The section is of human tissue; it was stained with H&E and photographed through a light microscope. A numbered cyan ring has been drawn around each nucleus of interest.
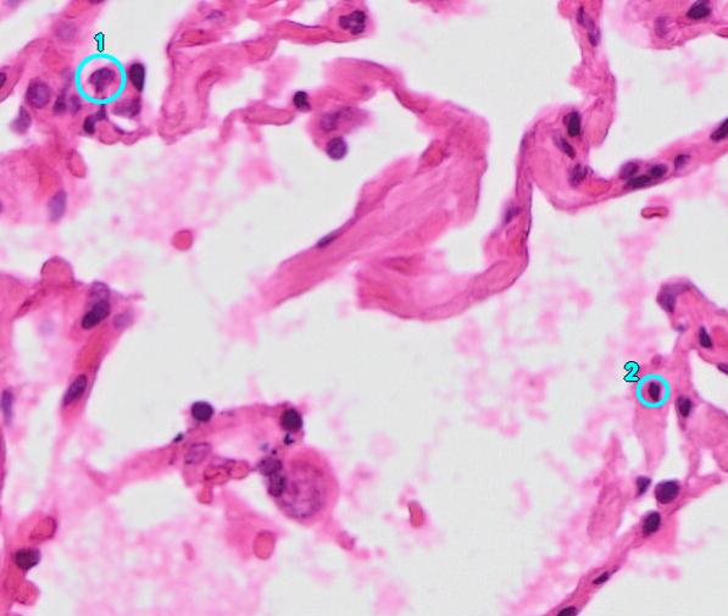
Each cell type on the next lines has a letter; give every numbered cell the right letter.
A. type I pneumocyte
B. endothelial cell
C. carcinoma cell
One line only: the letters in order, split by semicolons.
A; B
